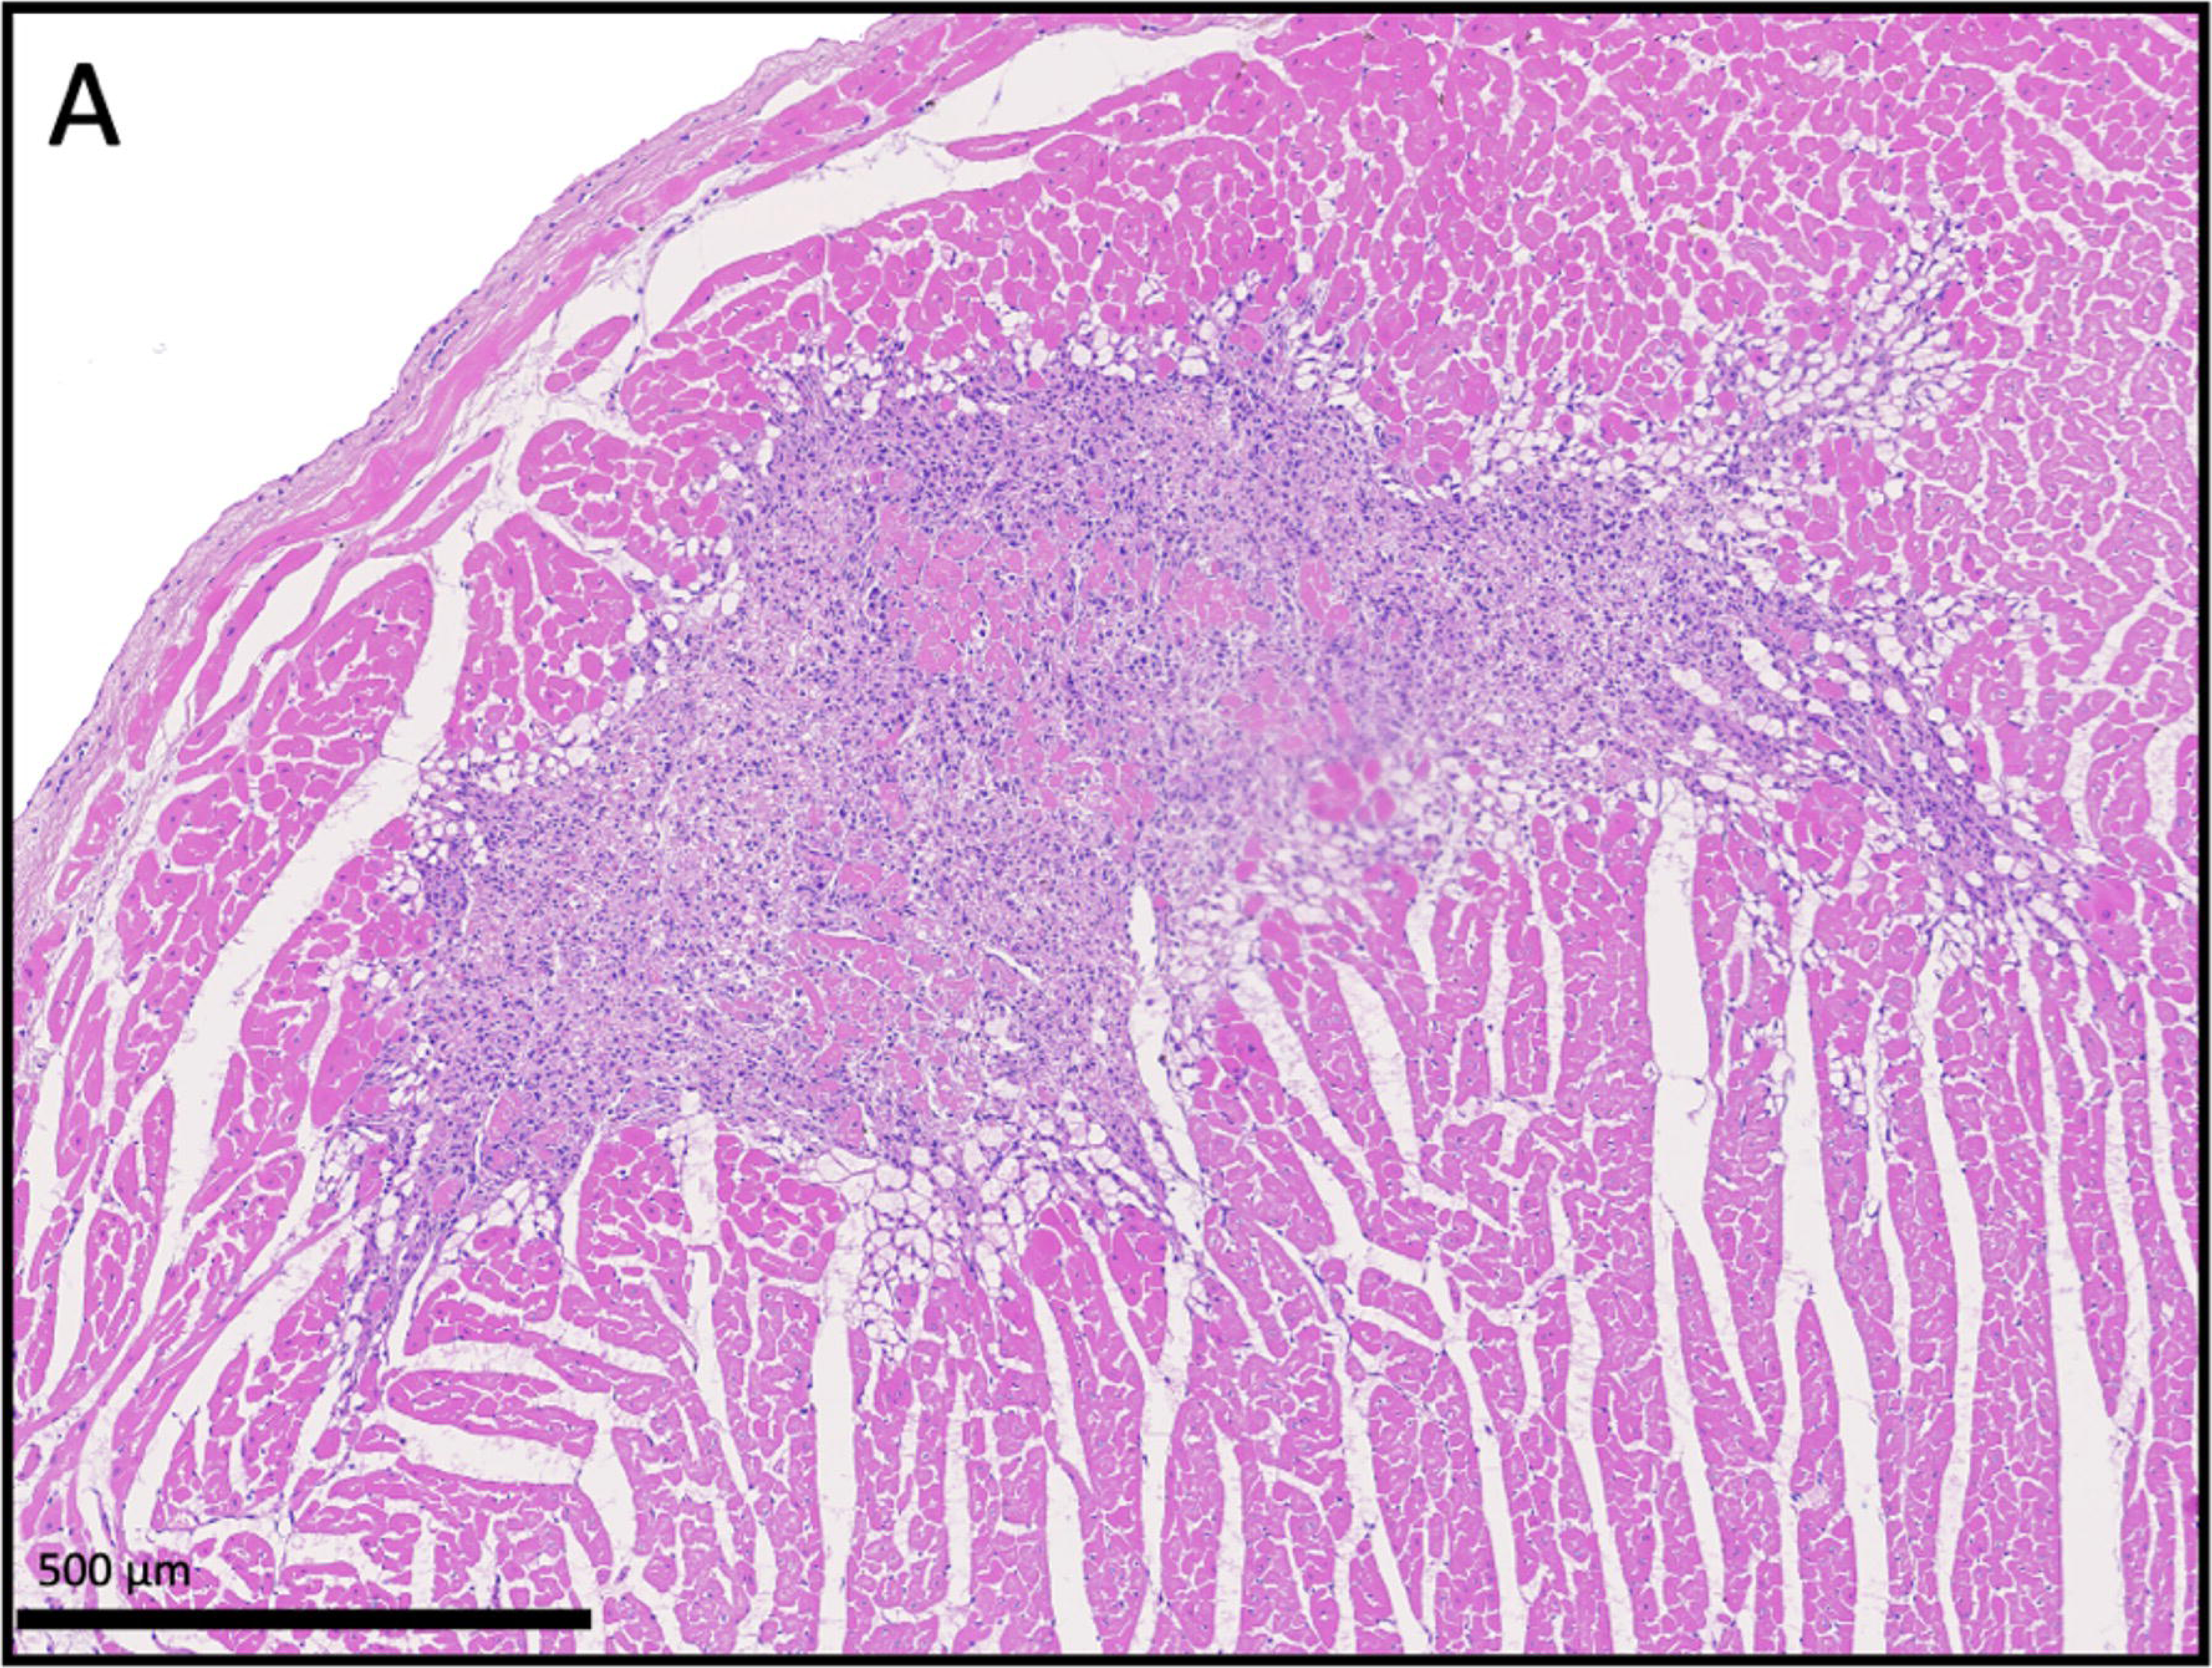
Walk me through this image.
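Heart muscle with pink fibres cut both across and along their length surrounds a central, irregular patch where the fibres are gone and the tissue is crowded with small purple nuclei, with a few leftover pink fragments inside it. The patch is rimmed by pale, lacy, vacuolated tissue, and the outer surface at the top left is covered by a thin layer. This is a focal region of myocyte necrosis with a surrounding inflammatory infiltrate.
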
